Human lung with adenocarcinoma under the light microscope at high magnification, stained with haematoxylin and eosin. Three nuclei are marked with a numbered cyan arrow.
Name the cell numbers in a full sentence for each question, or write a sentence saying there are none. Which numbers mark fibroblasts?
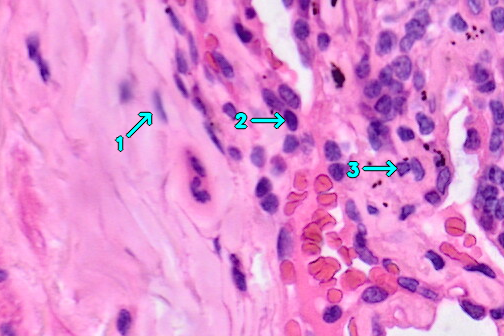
Cell 1 is a fibroblast; no further numbered cell is.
